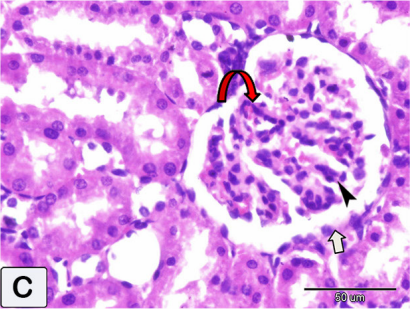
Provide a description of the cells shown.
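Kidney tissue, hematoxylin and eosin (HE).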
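Renal cortex showing a renal corpuscle whose glomerular tuft is lobulated and densely packed with dark purple nuclei. Surrounding tubules are lined by epithelial cells with pink cytoplasm and round nuclei, some with open lumens.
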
